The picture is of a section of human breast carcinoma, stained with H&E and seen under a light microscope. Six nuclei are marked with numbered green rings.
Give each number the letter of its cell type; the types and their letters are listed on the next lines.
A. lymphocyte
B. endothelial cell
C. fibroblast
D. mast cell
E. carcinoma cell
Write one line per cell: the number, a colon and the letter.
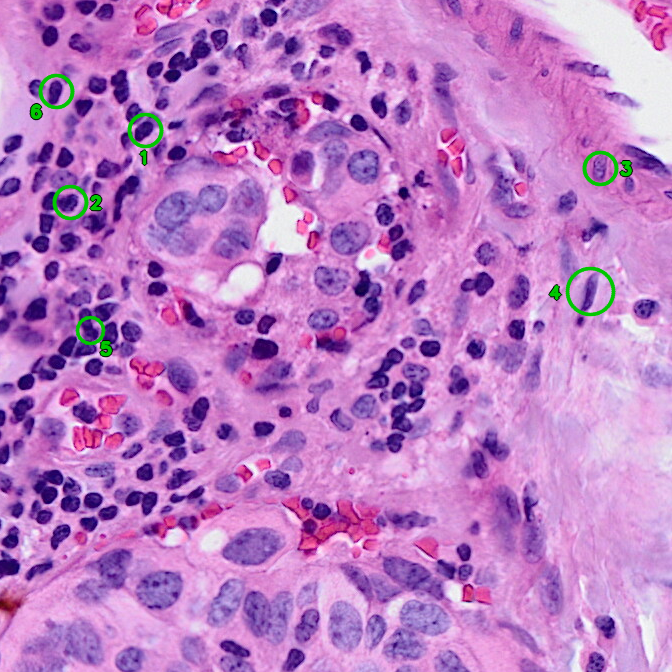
1: A
2: A
3: B
4: C
5: A
6: A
